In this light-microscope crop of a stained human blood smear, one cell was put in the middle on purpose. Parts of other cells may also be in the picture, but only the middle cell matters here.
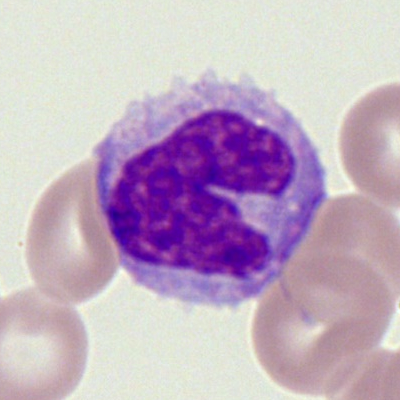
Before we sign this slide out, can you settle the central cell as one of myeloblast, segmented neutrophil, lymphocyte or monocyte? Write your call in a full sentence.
In the central position of this crop, the cell is a monocyte.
